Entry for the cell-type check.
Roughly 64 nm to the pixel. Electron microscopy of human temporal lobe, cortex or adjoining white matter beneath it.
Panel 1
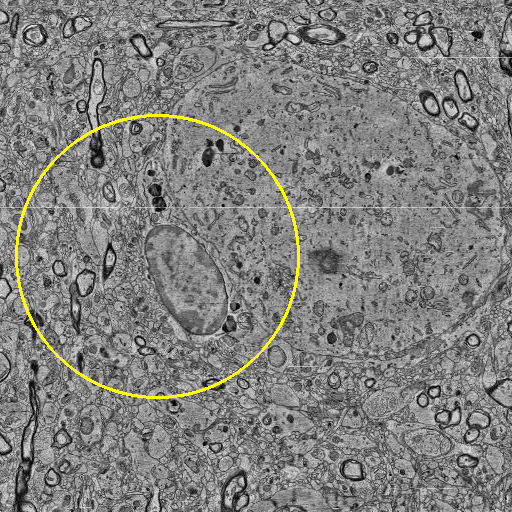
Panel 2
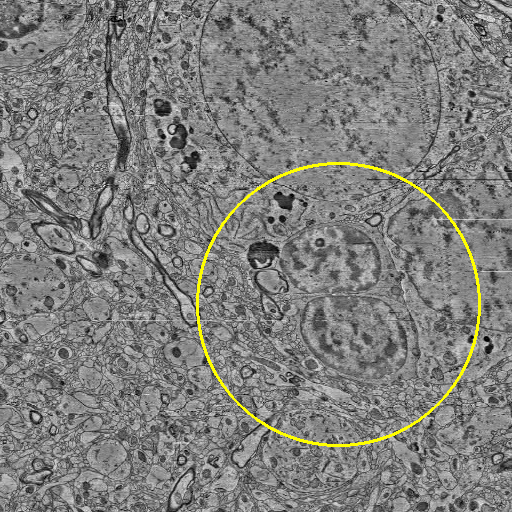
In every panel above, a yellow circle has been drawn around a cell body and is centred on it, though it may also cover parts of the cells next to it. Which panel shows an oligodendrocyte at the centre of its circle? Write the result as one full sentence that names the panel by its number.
Panel 2 shows it at the centre of its circle.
